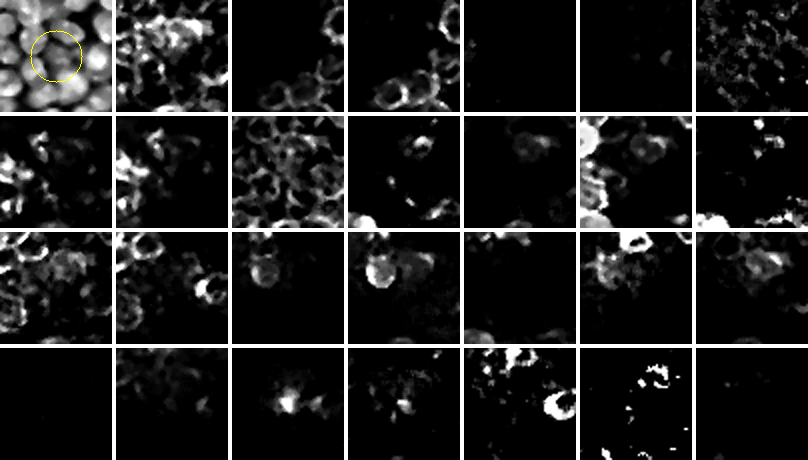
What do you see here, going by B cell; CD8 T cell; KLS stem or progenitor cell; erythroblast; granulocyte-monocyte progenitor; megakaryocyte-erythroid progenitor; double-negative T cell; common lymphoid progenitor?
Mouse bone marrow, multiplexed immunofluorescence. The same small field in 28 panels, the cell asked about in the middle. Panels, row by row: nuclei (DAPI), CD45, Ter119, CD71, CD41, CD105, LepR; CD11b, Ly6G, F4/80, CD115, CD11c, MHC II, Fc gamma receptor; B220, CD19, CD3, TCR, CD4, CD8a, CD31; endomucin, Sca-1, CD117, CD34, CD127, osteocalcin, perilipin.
I see a megakaryocyte-erythroid progenitor.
